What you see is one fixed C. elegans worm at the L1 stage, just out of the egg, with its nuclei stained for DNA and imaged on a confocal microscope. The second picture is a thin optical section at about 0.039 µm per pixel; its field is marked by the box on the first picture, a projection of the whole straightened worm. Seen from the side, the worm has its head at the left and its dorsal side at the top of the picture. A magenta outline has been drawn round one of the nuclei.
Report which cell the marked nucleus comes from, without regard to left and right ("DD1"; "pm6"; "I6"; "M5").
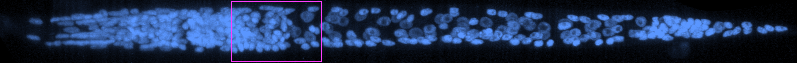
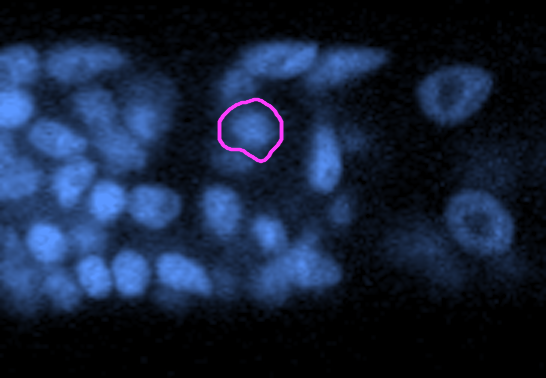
M5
